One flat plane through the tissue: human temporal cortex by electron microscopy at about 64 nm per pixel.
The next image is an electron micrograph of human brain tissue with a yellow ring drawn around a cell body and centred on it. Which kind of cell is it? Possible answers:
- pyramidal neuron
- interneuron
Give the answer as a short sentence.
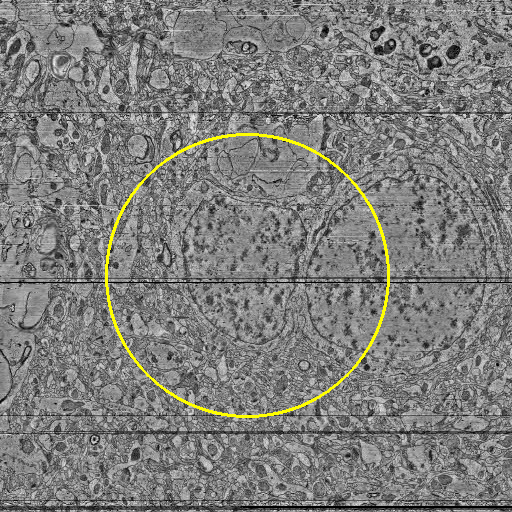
In the ring's centre is an interneuron.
